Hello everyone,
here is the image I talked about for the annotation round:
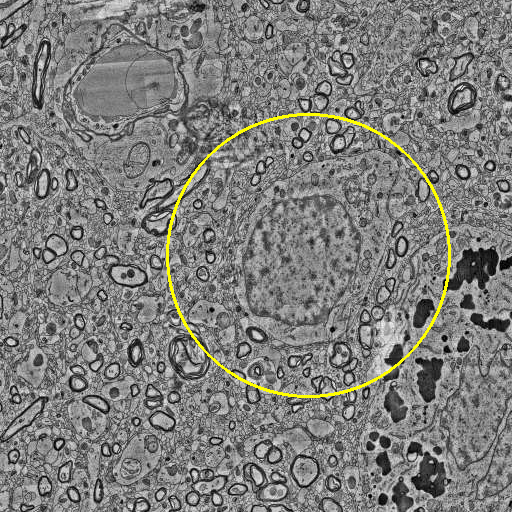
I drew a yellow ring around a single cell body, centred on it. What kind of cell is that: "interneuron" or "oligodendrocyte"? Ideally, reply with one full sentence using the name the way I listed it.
The cell your yellow ring is centred on is an interneuron, going by your list.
